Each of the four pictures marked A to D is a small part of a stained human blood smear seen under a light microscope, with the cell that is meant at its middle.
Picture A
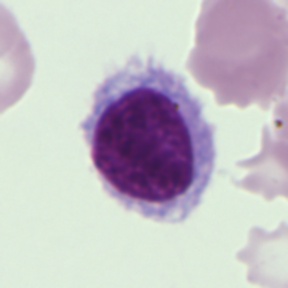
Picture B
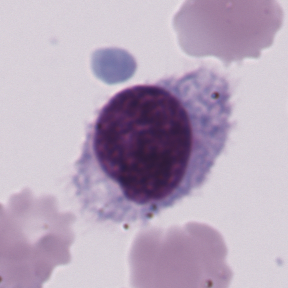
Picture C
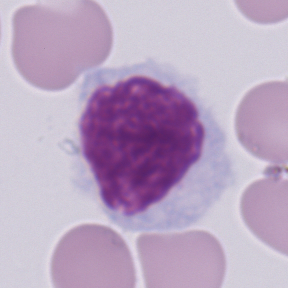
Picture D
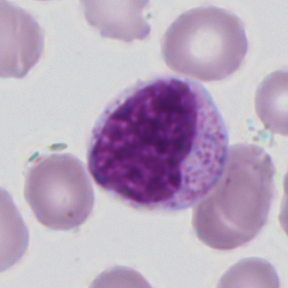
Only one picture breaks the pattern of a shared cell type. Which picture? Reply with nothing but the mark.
D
